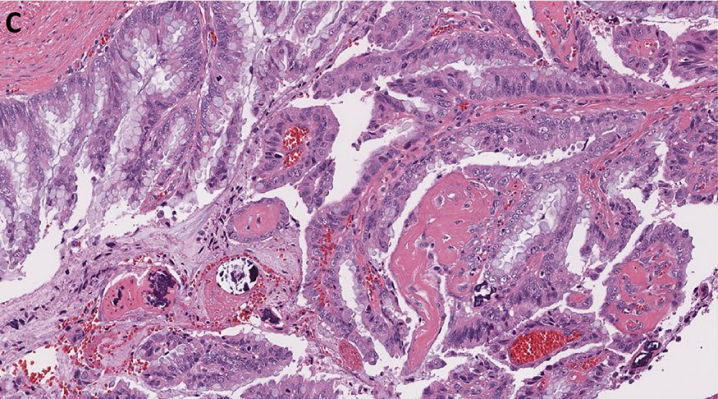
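Papillary fronds of a mucinous tumor project into cystic spaces. They are covered by columnar cells, some with pale, foamy mucin-filled cytoplasm and others more purple, with enlarged, somewhat crowded oval nuclei. The fronds have cores of pink, glassy stroma and congested blood vessels filled with red cells. Small dark purple calcified bodies lie in the stroma at lower left. A band of pink fibrous tissue crosses the upper left corner. The architecture is cystic and papillary, with more nuclear crowding than a bland lesion would show.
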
